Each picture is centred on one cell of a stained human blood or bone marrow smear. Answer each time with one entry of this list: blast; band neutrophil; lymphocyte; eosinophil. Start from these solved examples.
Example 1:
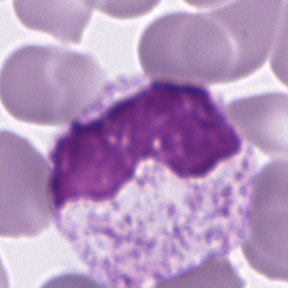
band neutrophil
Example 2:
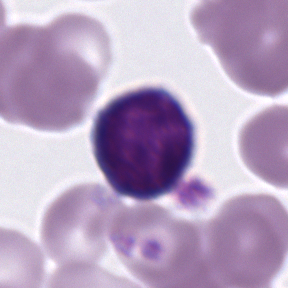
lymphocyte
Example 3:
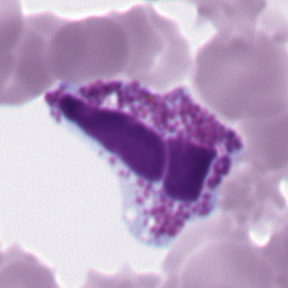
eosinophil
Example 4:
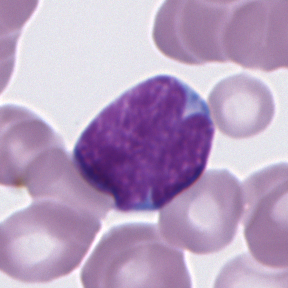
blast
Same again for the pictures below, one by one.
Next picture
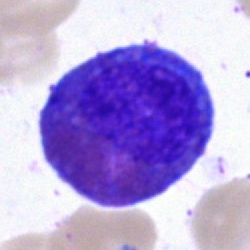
eosinophil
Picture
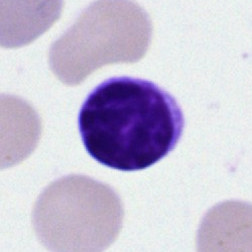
lymphocyte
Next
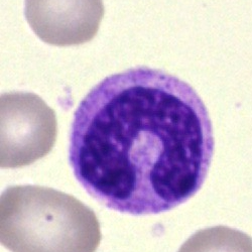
band neutrophil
